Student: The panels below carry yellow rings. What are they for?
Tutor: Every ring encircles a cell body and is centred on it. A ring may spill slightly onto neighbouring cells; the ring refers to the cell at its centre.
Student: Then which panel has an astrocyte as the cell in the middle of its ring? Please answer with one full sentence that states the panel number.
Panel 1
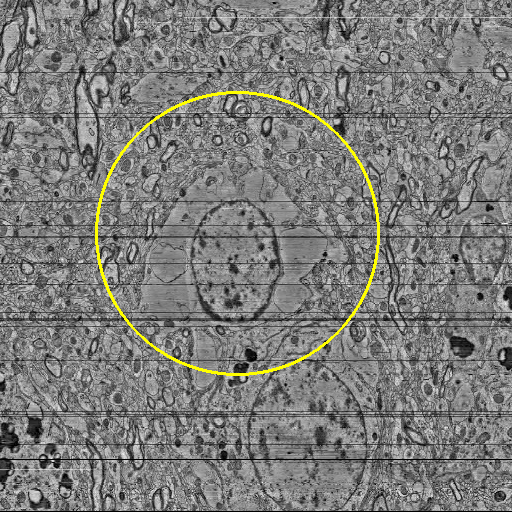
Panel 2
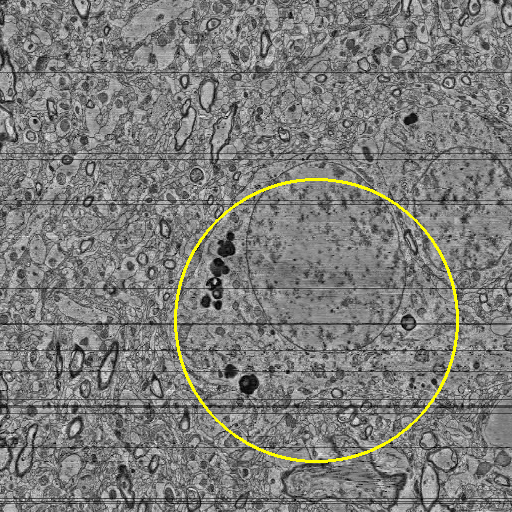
In Panel 1, the cell centred in the ring is the one sought.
